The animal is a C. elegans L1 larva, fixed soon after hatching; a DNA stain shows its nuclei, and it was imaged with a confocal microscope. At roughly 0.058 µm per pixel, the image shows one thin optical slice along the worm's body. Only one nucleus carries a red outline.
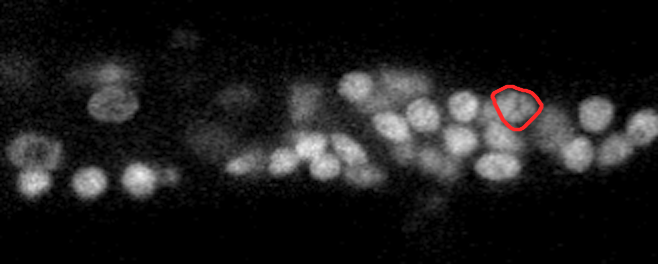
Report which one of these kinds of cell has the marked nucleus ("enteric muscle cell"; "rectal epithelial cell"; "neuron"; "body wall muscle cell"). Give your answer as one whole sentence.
The marked nucleus is that of a body wall muscle cell.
